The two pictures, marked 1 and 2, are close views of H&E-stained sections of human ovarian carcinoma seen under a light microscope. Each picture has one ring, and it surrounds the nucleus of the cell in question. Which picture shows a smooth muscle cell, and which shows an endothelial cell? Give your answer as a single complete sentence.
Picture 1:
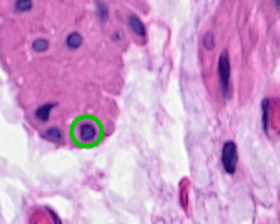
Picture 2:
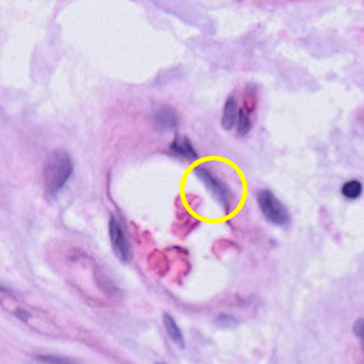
Picture 1 is of a smooth muscle cell, and picture 2 is of an endothelial cell.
